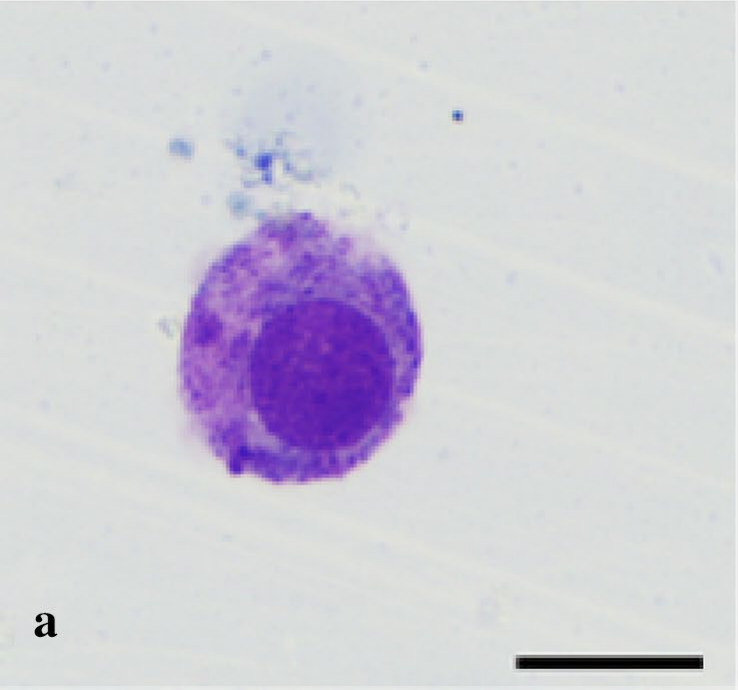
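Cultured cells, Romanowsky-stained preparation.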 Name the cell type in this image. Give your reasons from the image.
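A single round cell with a large, round, dense purple nucleus set off-centre. The cytoplasm is filled with purple granules. Small granule-like fragments lie just outside the cell at its upper edge.
Conclusion: Mast cells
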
